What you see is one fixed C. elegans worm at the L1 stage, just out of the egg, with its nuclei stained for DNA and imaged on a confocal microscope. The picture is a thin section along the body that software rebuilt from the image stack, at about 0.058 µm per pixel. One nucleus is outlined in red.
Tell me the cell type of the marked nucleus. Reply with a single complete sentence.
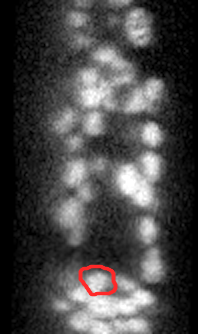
The cell with the marked nucleus is a GLR cell.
